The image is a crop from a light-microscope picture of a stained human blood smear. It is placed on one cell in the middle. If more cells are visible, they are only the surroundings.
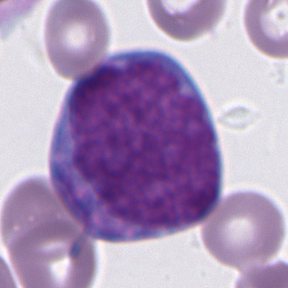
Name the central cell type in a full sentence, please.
Classification of the middle cell gives a promyelocyte.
